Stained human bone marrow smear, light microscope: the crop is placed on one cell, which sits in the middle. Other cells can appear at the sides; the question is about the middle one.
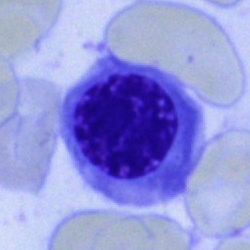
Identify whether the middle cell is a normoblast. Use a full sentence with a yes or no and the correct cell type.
Yes, at the centre of the crop lies a normoblast.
